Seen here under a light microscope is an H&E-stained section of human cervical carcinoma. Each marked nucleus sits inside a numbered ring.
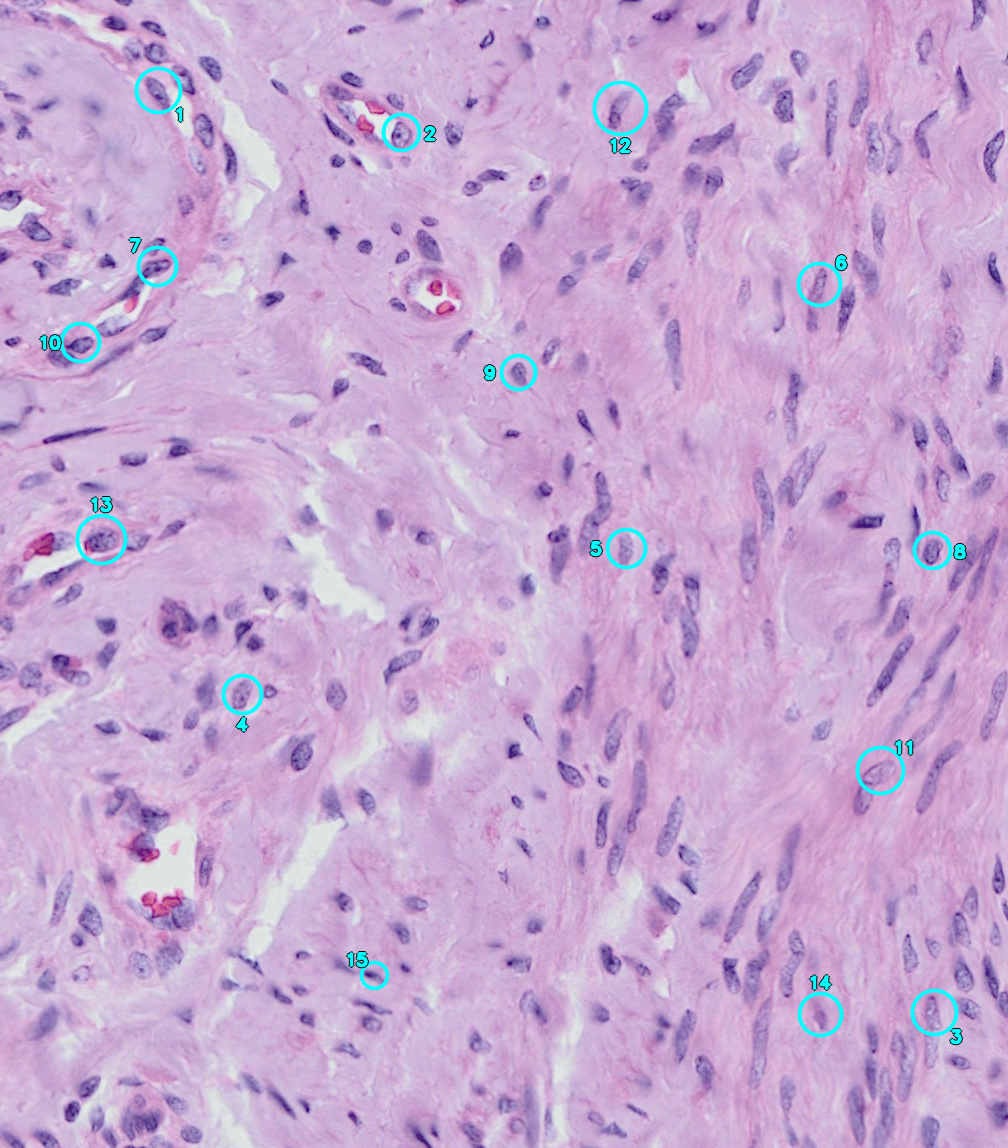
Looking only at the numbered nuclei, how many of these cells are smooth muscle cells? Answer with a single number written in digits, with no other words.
6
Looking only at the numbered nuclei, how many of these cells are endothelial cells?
5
